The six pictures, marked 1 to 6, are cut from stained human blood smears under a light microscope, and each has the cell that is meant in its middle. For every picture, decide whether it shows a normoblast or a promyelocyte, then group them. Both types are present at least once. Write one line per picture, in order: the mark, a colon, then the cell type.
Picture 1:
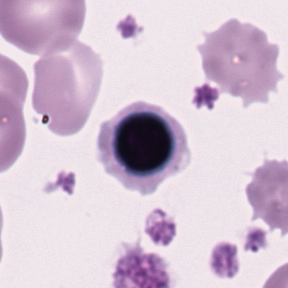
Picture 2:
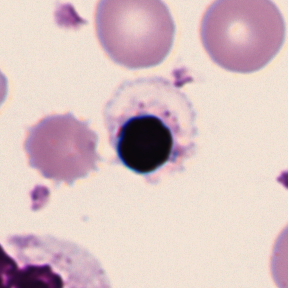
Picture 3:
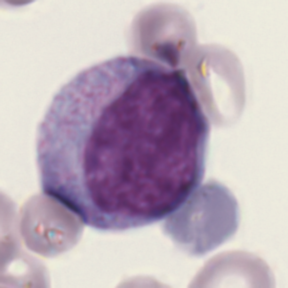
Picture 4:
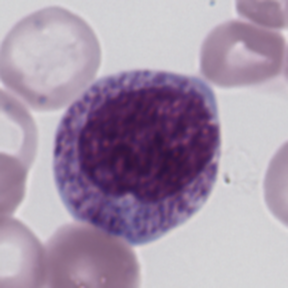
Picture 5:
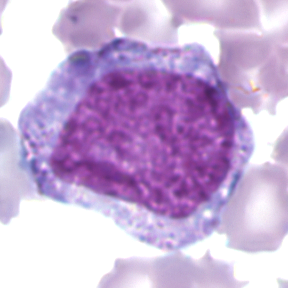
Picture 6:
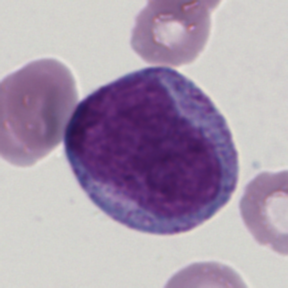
1: normoblast
2: normoblast
3: promyelocyte
4: promyelocyte
5: promyelocyte
6: promyelocyte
